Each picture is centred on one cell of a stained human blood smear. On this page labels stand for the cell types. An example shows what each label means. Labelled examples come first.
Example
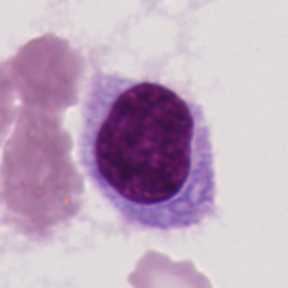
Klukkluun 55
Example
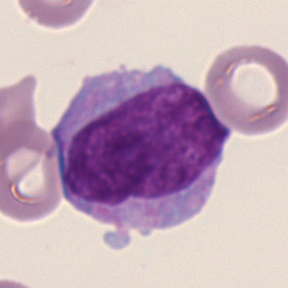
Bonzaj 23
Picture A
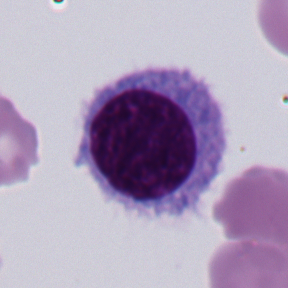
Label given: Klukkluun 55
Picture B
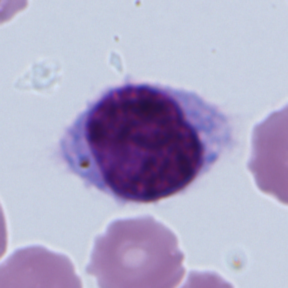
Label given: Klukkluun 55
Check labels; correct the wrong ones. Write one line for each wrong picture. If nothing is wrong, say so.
Every label is right.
